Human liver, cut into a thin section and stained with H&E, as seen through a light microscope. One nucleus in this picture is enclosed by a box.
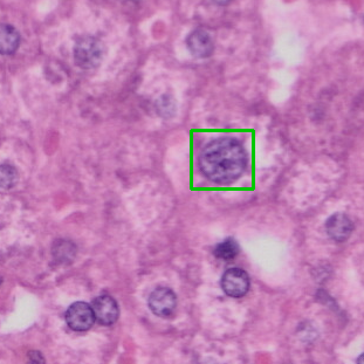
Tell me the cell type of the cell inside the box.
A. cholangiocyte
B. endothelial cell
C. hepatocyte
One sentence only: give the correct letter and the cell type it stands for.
That the cell inside the box is a hepatocyte makes option C the correct choice.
